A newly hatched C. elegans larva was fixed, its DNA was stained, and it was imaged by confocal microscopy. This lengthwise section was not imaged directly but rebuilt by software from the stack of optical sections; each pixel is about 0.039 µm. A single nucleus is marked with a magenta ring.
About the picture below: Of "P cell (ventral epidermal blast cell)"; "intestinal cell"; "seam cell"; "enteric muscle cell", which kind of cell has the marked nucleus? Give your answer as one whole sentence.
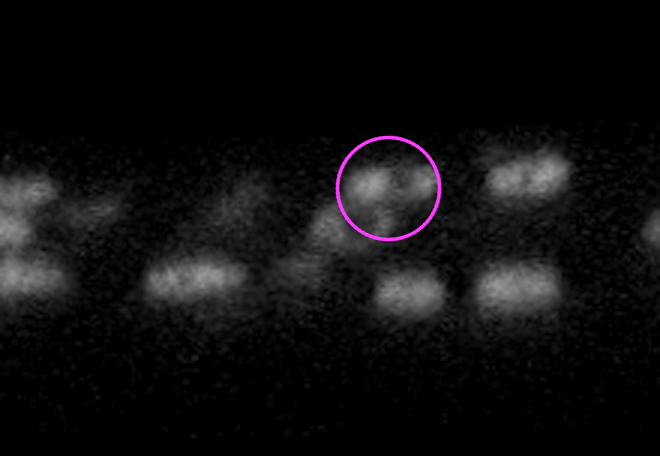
The marked nucleus is that of a P cell (ventral epidermal blast cell).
